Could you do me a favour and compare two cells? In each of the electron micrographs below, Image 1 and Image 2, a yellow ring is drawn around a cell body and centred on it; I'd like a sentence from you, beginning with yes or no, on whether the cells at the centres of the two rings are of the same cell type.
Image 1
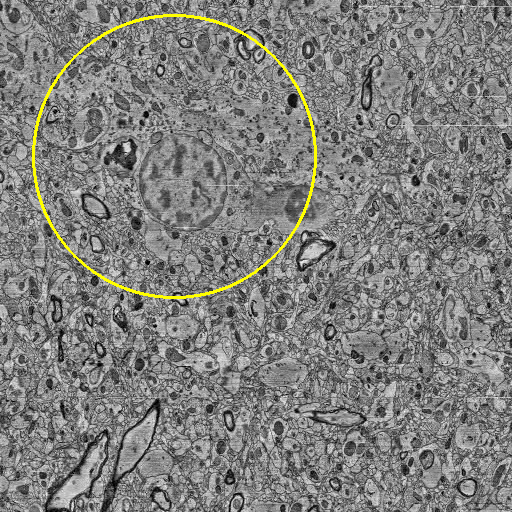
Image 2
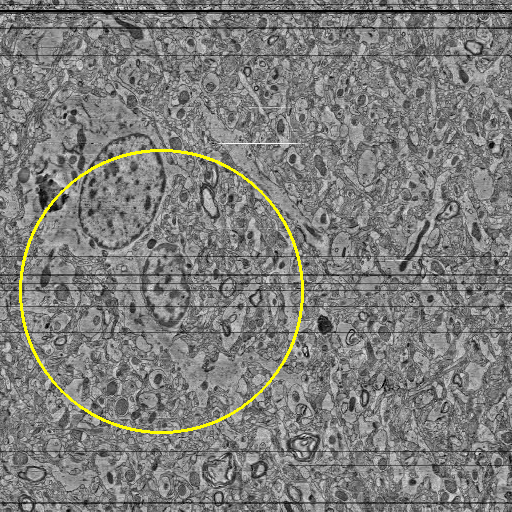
No, the two cells are of two cell types.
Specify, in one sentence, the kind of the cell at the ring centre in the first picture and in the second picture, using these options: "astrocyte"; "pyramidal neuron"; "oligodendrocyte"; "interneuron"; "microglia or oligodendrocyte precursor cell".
So the first is an oligodendrocyte, the second a microglial cell or oligodendrocyte precursor cell.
